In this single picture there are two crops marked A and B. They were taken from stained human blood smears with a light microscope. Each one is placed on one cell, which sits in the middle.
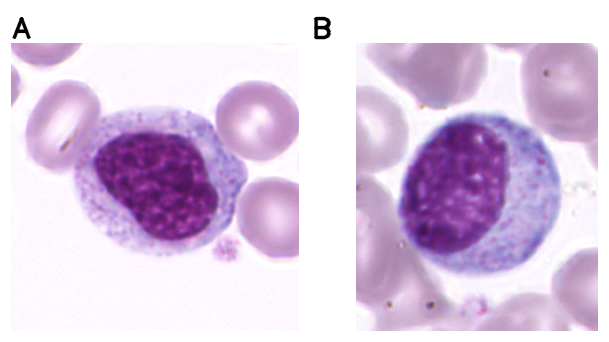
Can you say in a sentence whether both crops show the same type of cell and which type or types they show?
No, a metamyelocyte is what crop A shows, and a myelocyte is what crop B shows.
